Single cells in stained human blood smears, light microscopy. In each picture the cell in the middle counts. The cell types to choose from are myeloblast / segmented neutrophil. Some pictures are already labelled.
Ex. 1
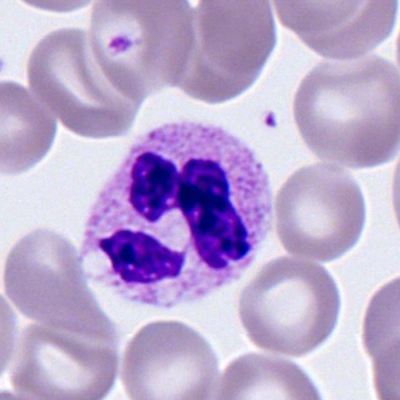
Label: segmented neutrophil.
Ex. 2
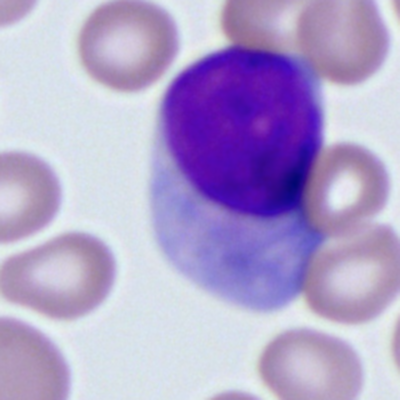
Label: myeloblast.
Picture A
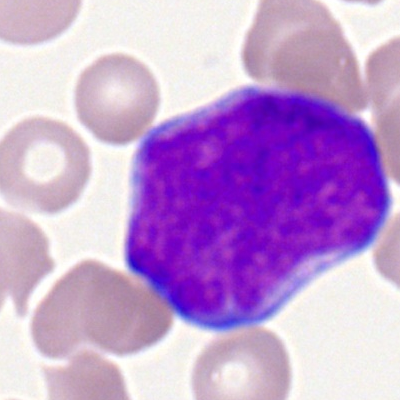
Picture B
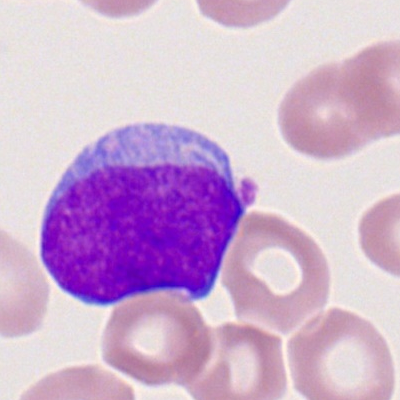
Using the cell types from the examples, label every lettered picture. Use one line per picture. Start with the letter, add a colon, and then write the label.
A: myeloblast.
B: myeloblast.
